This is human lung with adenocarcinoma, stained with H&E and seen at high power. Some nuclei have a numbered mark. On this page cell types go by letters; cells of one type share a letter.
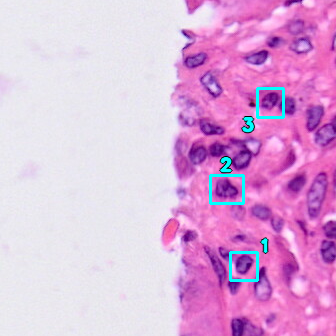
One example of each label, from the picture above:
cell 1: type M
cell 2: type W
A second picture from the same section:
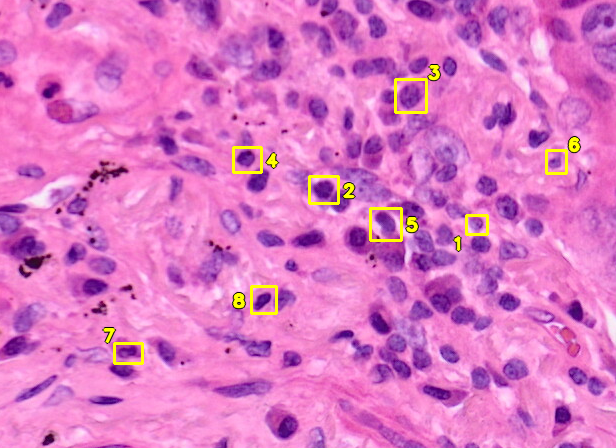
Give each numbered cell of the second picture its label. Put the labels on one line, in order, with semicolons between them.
type M; type M; type W; type M; type W; type M; type W; type M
